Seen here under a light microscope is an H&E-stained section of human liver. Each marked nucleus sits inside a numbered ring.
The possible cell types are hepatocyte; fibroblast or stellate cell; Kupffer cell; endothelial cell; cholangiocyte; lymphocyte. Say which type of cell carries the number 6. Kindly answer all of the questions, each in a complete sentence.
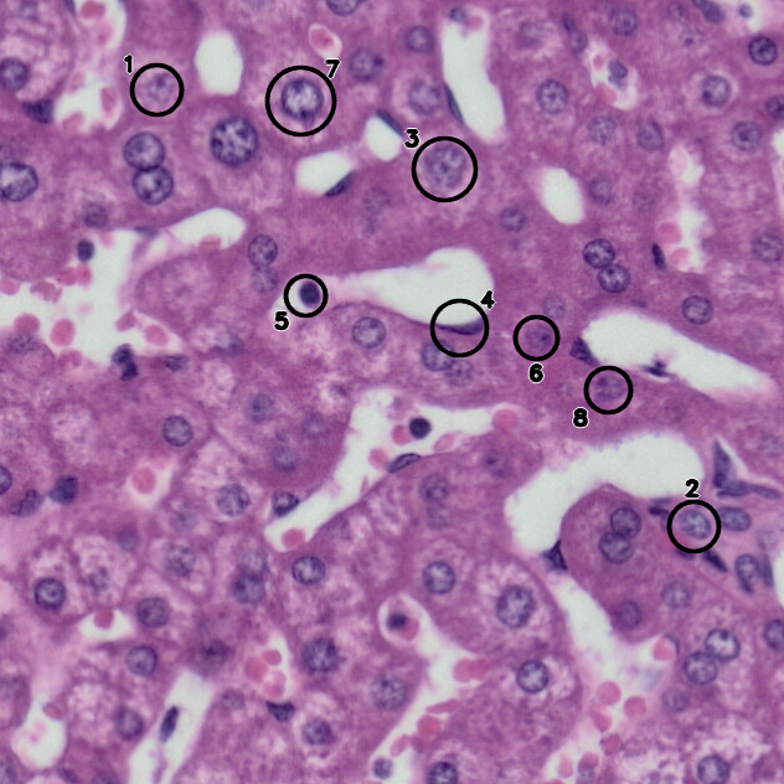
The cell carrying label 6 is identified as a hepatocyte.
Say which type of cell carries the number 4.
Denoted by the label 4 in the section is a fibroblast or stellate cell.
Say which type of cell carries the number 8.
Identified by the number 8, the cell is a hepatocyte.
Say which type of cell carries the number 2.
The one numbered 2 among the marked cells is a cholangiocyte.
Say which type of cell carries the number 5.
The correct answer for cell 5 is a lymphocyte.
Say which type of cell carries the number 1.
Nucleus 1 in this section belongs to a hepatocyte.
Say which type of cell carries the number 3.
The cell marked with the number 3 is a hepatocyte.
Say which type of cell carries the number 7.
The label 7 in this section denotes a hepatocyte.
